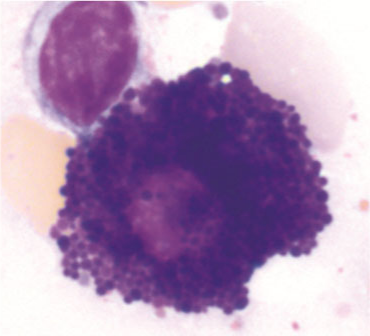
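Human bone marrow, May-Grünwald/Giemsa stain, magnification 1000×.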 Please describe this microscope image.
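The granules extend to the cell edge and largely cover a paler, centrally placed nucleus. Red blood cells and a second nucleated cell lie alongside.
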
